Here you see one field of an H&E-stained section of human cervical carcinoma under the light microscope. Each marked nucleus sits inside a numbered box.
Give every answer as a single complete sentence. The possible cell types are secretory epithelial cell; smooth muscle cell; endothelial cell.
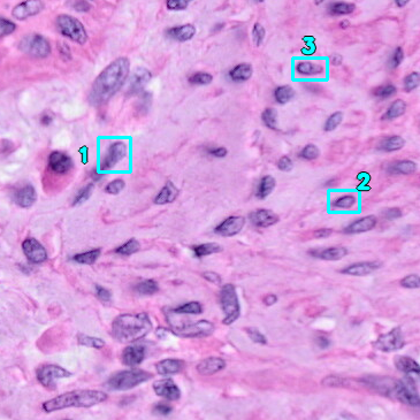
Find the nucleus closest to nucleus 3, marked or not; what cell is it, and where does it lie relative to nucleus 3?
The nearest nucleus is that of a smooth muscle cell and lies below nucleus 3.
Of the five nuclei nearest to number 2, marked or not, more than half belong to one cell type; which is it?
Smooth muscle cells account for more than half of the five nuclei nearest to number 2.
